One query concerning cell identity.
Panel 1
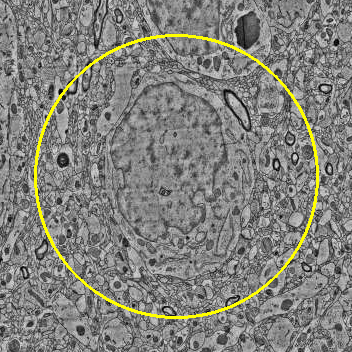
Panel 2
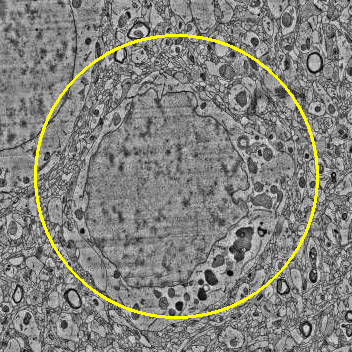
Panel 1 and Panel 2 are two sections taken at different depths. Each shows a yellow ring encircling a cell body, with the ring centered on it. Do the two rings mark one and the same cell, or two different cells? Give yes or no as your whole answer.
no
